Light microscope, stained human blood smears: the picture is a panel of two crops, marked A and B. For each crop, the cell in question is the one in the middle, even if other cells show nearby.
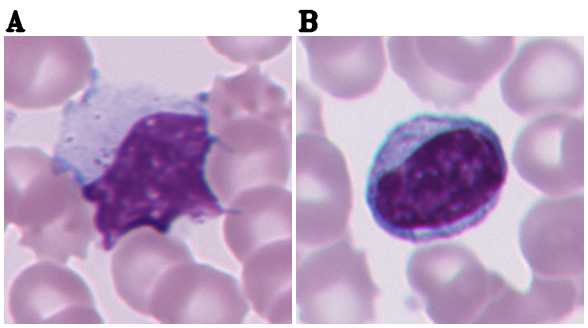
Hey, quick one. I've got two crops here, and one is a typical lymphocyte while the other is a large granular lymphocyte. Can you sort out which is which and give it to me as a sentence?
The cell at the centre of crop A is a large granular lymphocyte, and at the centre of crop B, a typical lymphocyte.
